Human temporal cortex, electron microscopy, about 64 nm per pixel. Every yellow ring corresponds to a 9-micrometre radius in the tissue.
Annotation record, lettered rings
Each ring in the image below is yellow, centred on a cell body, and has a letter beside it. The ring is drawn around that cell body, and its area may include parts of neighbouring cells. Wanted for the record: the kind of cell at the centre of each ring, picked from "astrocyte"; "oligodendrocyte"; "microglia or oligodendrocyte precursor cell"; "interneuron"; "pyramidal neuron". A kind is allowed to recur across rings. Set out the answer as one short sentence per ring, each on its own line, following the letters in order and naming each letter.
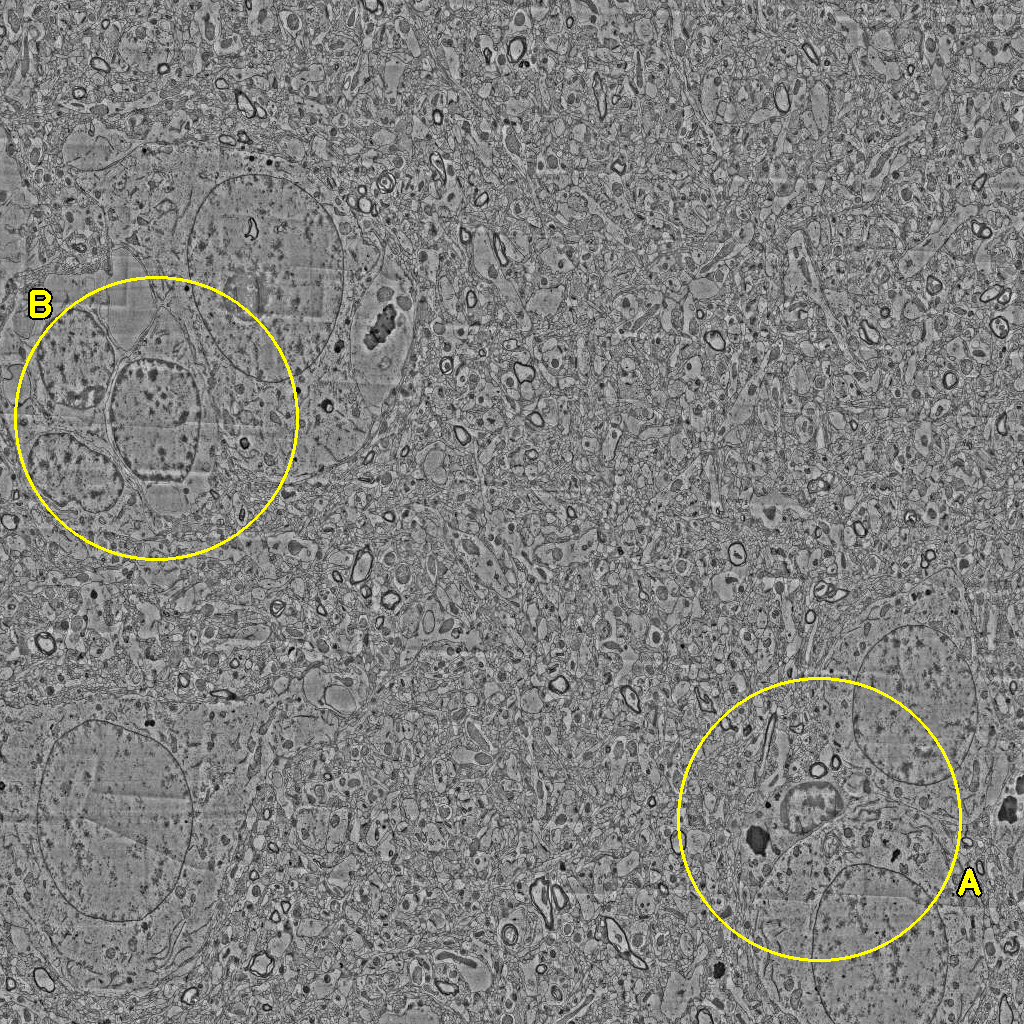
Ring A was drawn on an oligodendrocyte.
Ring B was drawn on an astrocyte.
